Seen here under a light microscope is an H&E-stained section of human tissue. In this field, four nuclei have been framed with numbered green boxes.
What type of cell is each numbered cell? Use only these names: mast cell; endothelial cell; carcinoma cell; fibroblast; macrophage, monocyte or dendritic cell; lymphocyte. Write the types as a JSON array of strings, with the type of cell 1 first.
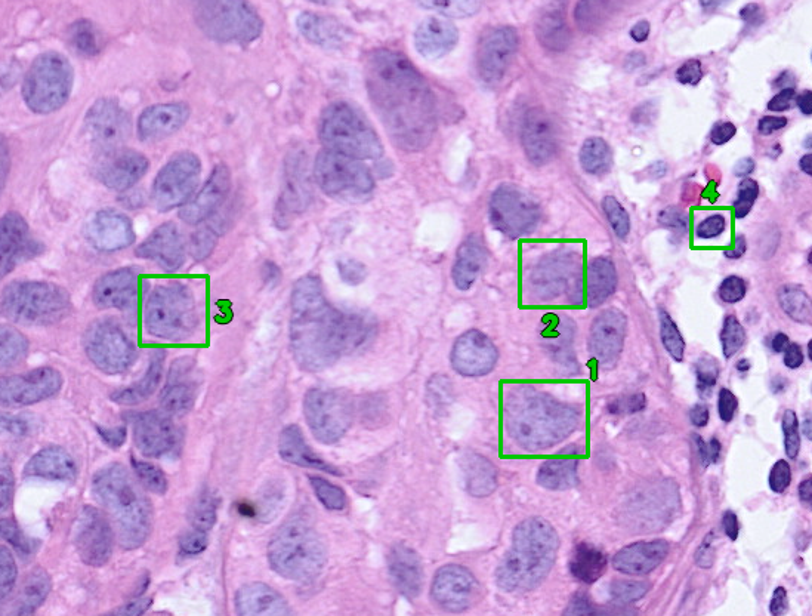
["carcinoma cell", "carcinoma cell", "carcinoma cell", "lymphocyte"]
